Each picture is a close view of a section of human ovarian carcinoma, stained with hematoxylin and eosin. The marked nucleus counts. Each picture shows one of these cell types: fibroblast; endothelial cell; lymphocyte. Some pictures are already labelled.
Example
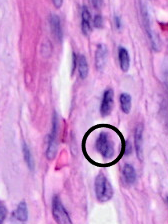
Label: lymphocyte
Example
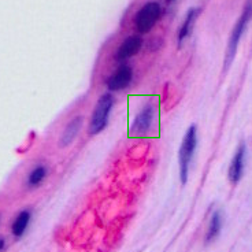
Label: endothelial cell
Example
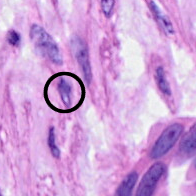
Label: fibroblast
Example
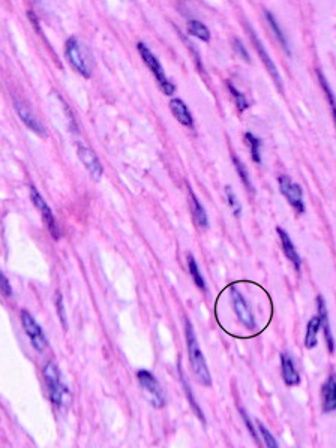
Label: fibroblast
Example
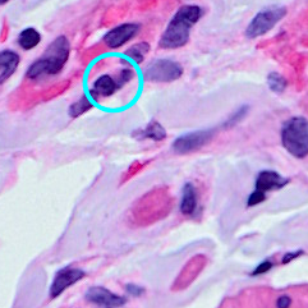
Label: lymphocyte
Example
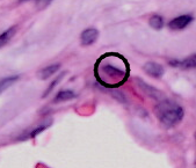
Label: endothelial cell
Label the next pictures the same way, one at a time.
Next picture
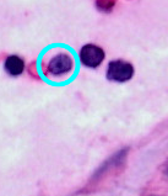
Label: lymphocyte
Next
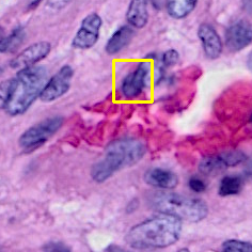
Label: endothelial cell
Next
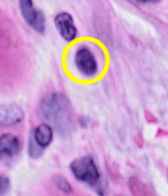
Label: lymphocyte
